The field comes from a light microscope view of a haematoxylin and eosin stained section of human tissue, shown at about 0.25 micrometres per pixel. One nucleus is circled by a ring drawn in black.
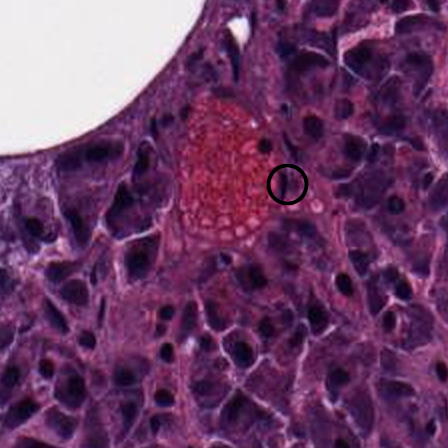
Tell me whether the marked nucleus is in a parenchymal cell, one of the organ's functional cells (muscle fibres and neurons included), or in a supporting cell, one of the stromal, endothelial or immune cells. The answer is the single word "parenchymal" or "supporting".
supporting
